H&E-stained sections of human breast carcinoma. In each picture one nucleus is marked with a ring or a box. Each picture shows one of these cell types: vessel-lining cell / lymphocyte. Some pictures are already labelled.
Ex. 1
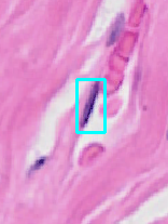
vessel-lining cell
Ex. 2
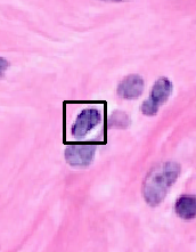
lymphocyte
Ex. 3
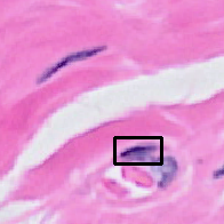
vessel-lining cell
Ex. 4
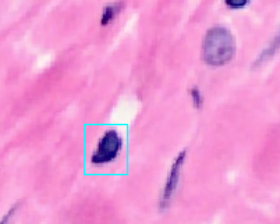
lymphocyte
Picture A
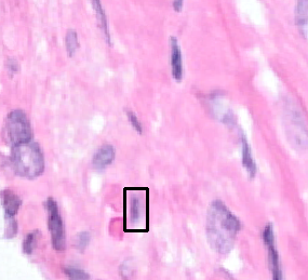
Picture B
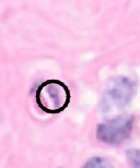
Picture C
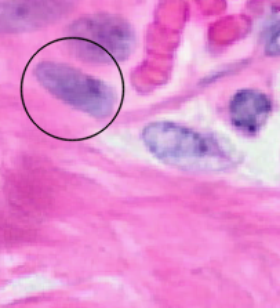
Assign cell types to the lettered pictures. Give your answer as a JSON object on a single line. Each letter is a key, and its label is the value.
{"A": "vessel-lining cell", "B": "vessel-lining cell", "C": "vessel-lining cell"}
